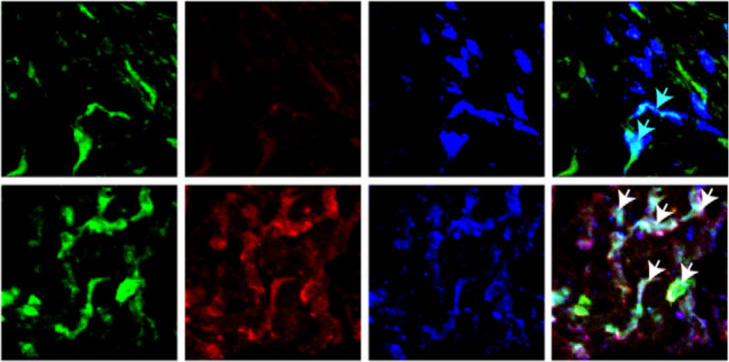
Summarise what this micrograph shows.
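In the upper row the green cells are few and the red channel is almost dark, while the blue signal outlines elongated cells that appear cyan in the merge. In the lower row there are more green cells, and the red signal is widespread over them, so that in the merge many cells look whitish or pale where all three colours overlap.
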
